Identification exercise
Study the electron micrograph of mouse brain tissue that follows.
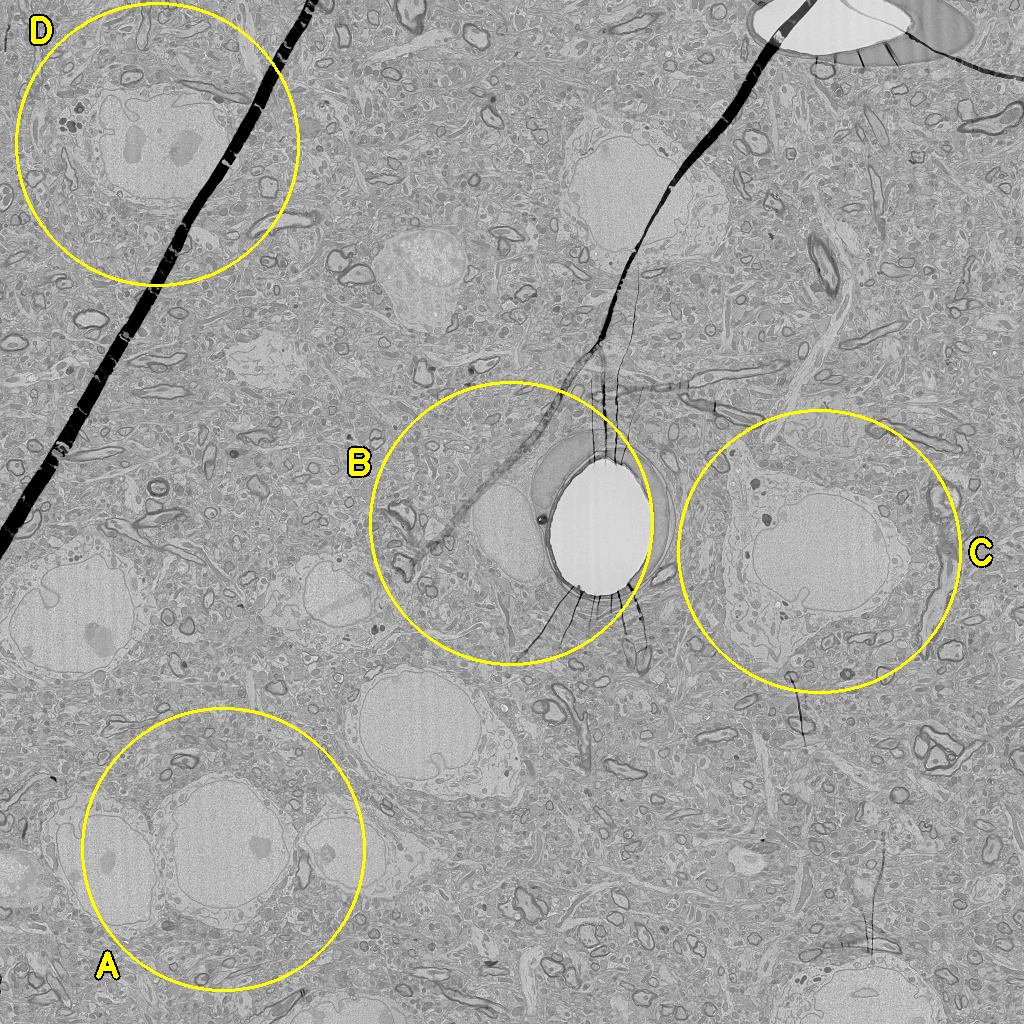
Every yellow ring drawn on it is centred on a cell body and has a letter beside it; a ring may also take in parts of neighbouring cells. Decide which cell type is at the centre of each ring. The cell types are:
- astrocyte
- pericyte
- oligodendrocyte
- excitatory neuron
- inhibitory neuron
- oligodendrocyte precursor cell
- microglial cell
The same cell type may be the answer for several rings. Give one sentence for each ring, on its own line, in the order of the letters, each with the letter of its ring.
Ring A encircles an excitatory neuron.
Ring B encircles an astrocyte.
Ring C encircles an excitatory neuron.
Ring D encircles an inhibitory neuron.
